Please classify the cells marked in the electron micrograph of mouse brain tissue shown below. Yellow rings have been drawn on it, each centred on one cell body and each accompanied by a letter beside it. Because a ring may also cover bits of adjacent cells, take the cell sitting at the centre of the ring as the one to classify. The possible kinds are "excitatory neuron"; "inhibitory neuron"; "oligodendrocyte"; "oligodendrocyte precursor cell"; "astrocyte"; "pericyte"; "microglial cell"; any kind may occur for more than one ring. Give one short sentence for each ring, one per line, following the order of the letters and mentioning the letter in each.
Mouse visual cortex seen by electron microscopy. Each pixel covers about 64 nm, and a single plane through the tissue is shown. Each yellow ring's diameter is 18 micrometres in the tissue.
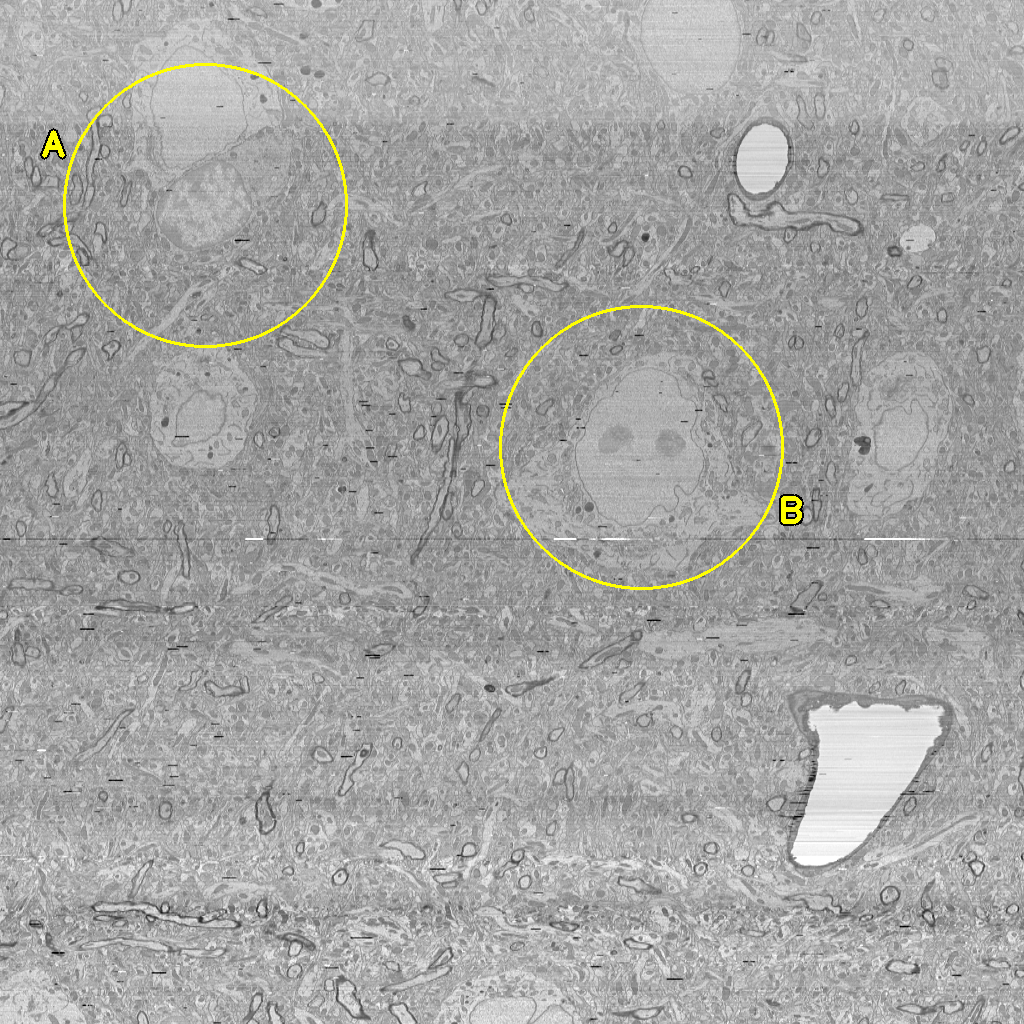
Ring A marks the cell body of an oligodendrocyte.
Ring B marks the cell body of an excitatory neuron.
